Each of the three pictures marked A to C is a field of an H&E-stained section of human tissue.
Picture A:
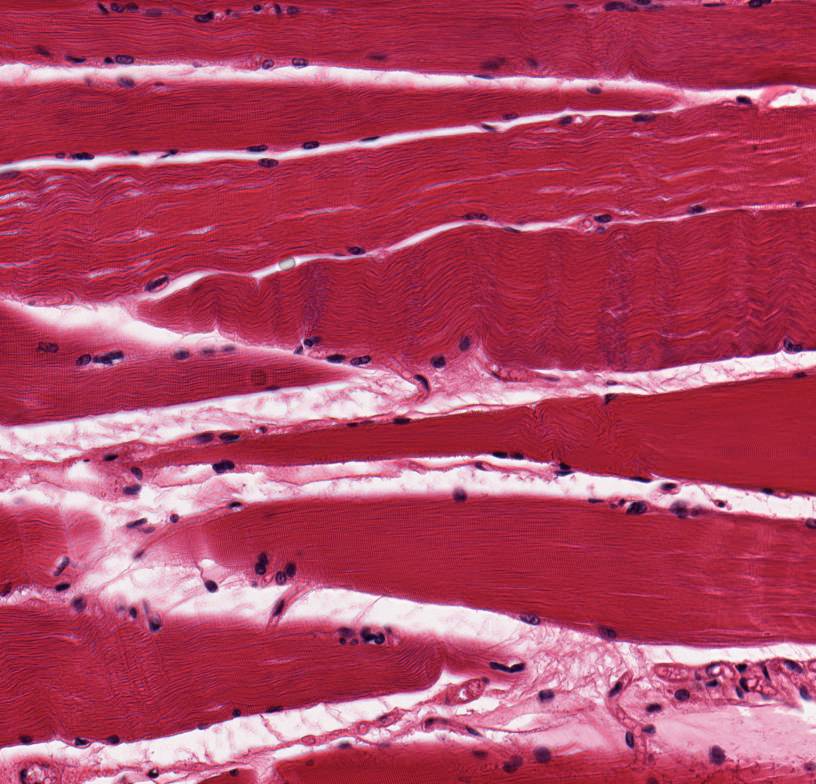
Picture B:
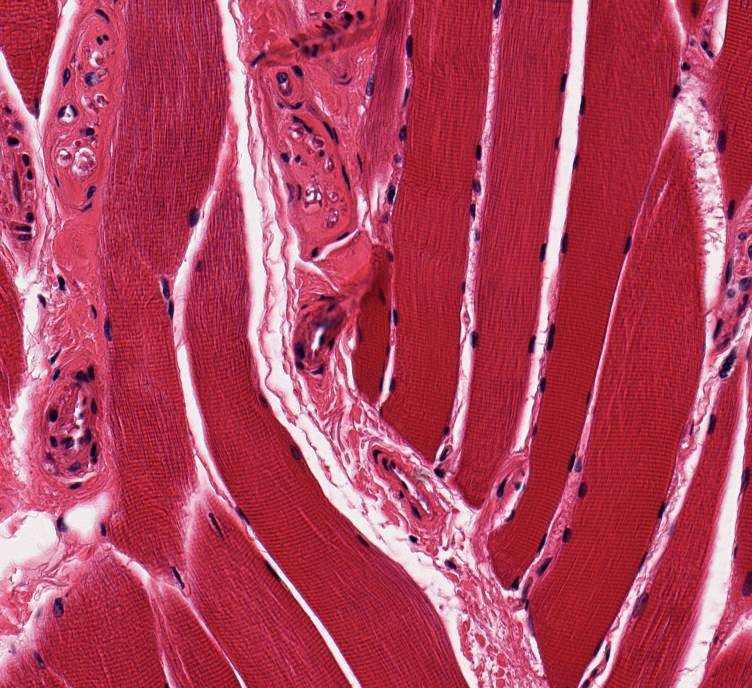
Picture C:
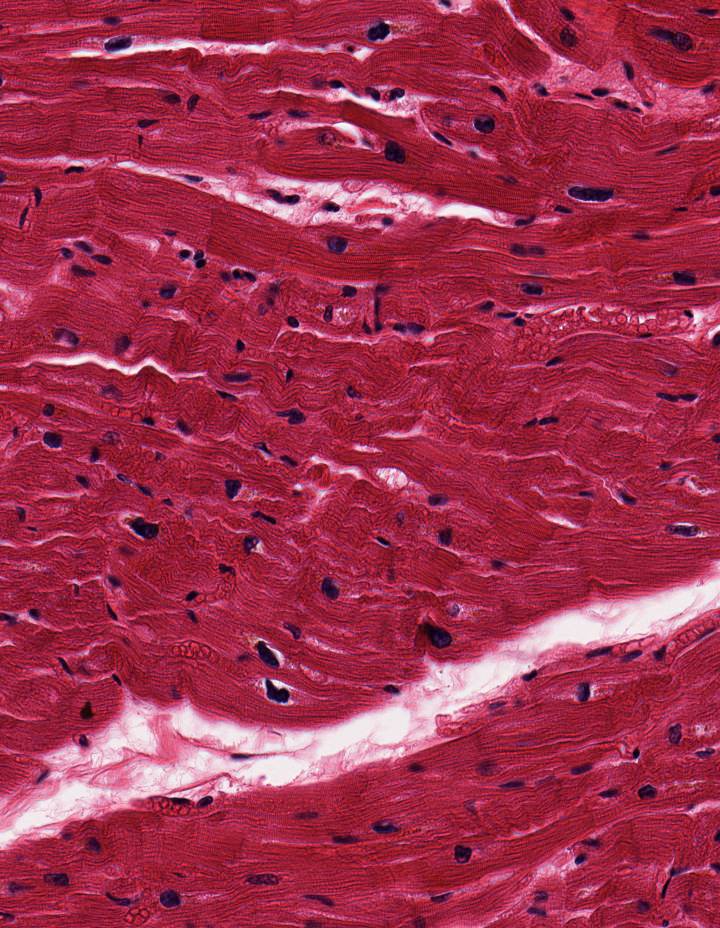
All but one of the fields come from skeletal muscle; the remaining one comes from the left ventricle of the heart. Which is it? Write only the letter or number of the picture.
C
